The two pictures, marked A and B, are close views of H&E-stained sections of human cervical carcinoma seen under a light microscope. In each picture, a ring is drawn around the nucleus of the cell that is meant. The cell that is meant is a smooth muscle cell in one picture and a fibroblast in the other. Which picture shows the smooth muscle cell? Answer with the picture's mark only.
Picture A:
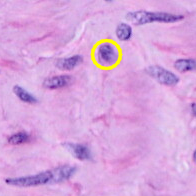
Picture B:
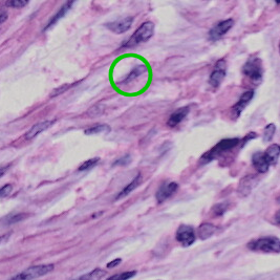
A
